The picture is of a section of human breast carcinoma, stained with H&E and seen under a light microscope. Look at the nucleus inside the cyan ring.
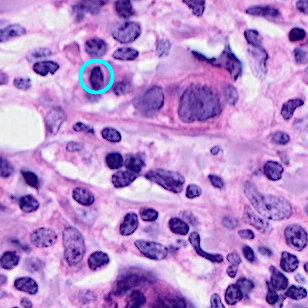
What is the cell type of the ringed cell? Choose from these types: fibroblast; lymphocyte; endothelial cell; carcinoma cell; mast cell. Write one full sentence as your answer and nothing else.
On this particular slide, the ringed cell is a lymphocyte.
